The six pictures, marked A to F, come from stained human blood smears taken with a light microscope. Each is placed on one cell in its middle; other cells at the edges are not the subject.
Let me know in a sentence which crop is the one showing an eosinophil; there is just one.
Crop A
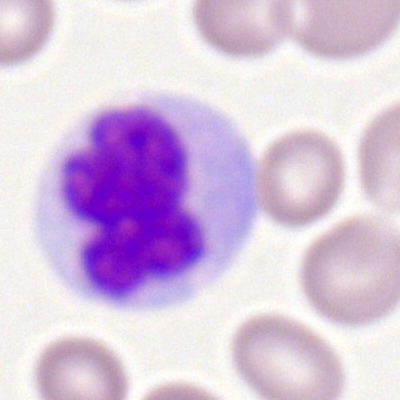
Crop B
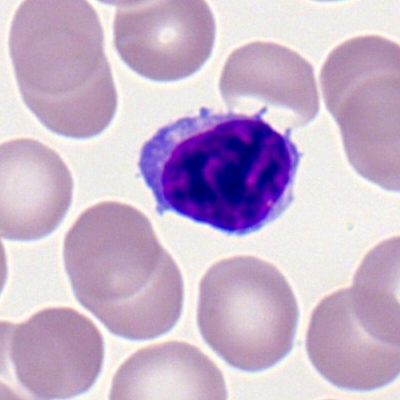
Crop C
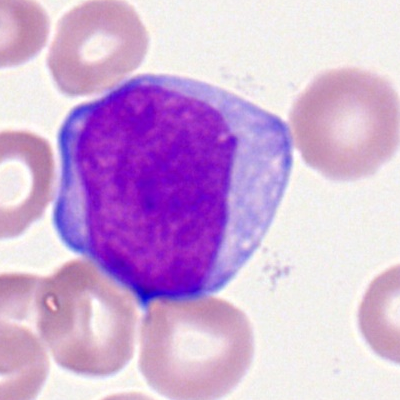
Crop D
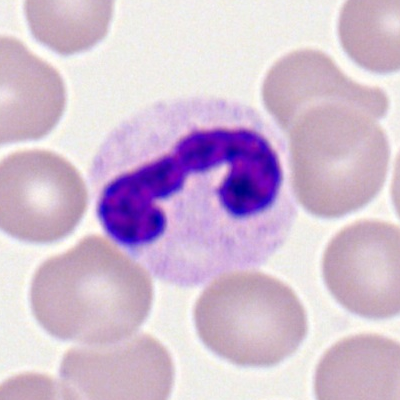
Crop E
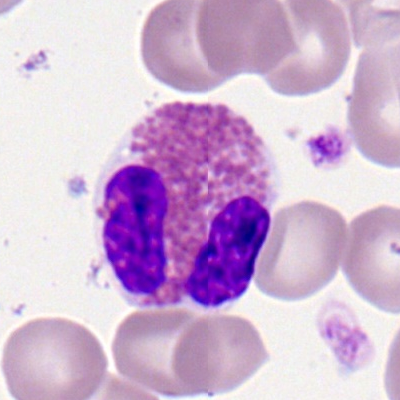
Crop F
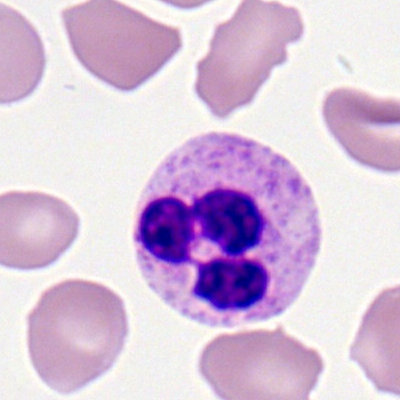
It is in crop E that an eosinophil is shown.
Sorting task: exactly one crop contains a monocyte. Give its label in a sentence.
It is in crop A, among all the crops, that a monocyte is present.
